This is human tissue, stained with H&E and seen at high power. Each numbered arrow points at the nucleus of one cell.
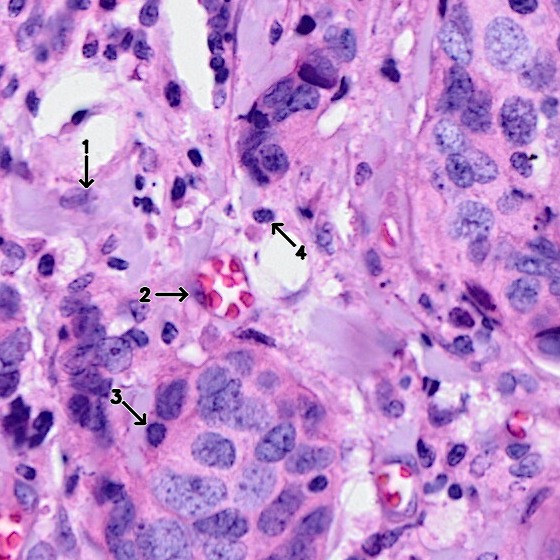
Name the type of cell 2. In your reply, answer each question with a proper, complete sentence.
In this section, the cell numbered 2 is an endothelial cell.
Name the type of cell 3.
Here, the cell given the number 3 is a carcinoma cell.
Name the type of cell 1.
The cell numbered 1 has been identified as a fibroblast.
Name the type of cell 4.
At number 4, the marked cell is a lymphocyte.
